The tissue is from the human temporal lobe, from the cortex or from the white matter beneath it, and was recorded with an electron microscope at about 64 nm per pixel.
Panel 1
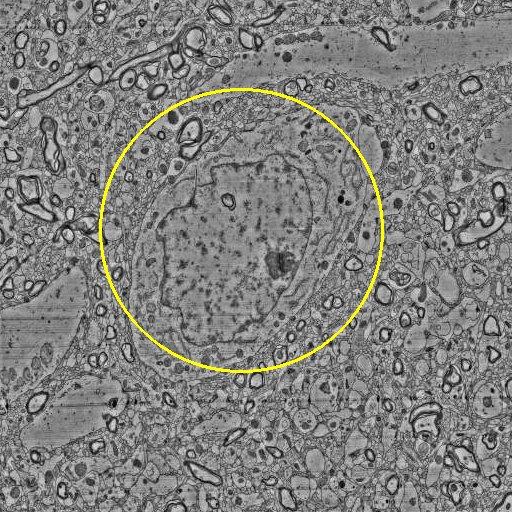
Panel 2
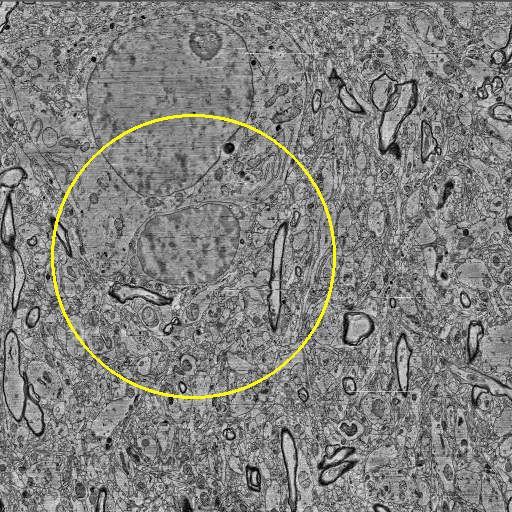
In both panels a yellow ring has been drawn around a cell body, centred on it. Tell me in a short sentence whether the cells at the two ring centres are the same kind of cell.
No, they are two kinds of cell.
